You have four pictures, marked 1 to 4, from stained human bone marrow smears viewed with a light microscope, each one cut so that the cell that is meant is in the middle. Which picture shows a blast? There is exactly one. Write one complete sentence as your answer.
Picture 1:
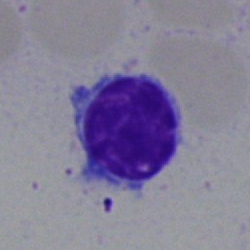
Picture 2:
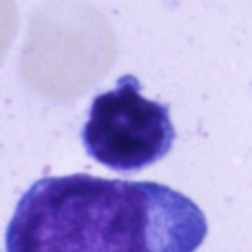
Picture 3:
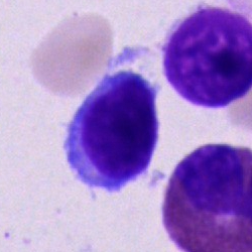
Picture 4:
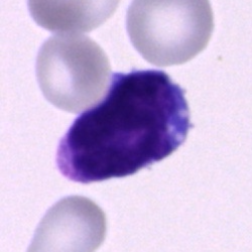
Picture 4 shows the blast.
